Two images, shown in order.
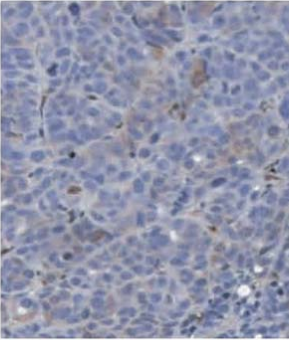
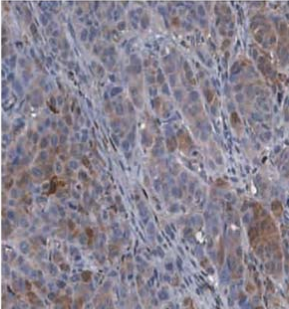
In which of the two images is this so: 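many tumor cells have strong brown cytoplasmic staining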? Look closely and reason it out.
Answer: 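The second image. First image: the tumor cells are mostly pale blue, with only faint and scattered brown staining. Second image: many tumor cells have clearly brown cytoplasm, varying in intensity from cell to cell.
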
